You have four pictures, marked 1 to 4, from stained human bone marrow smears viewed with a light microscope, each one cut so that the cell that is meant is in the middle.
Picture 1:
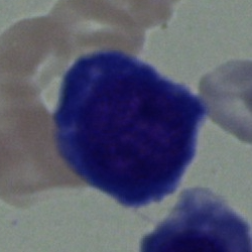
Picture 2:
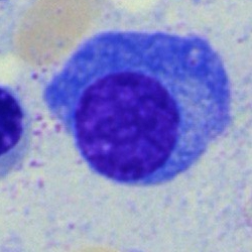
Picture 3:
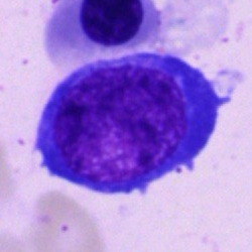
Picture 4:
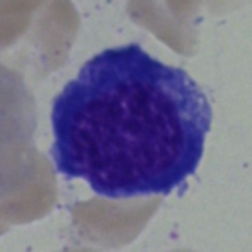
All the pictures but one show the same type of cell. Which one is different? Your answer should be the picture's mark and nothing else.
2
